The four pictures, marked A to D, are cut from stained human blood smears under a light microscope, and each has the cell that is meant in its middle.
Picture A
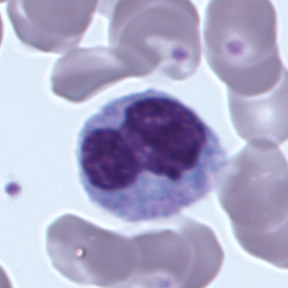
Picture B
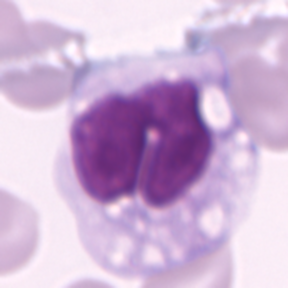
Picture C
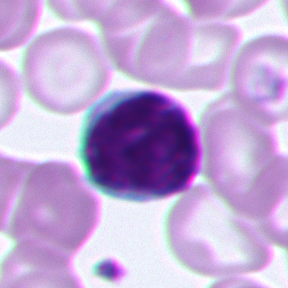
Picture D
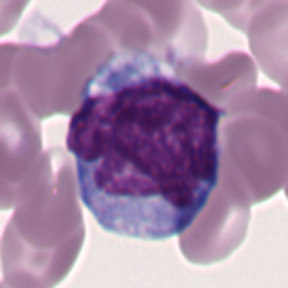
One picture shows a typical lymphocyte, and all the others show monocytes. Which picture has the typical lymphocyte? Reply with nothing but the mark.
C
